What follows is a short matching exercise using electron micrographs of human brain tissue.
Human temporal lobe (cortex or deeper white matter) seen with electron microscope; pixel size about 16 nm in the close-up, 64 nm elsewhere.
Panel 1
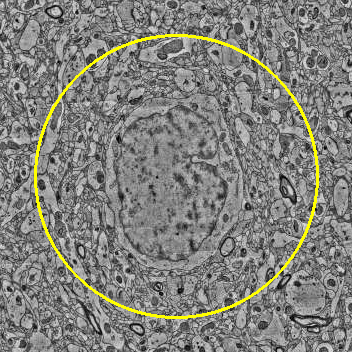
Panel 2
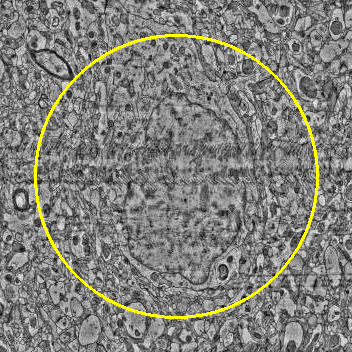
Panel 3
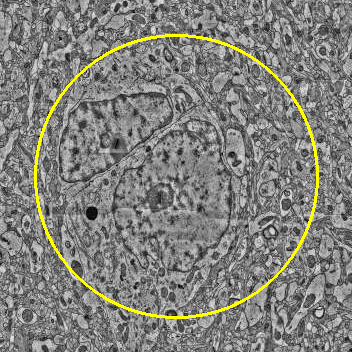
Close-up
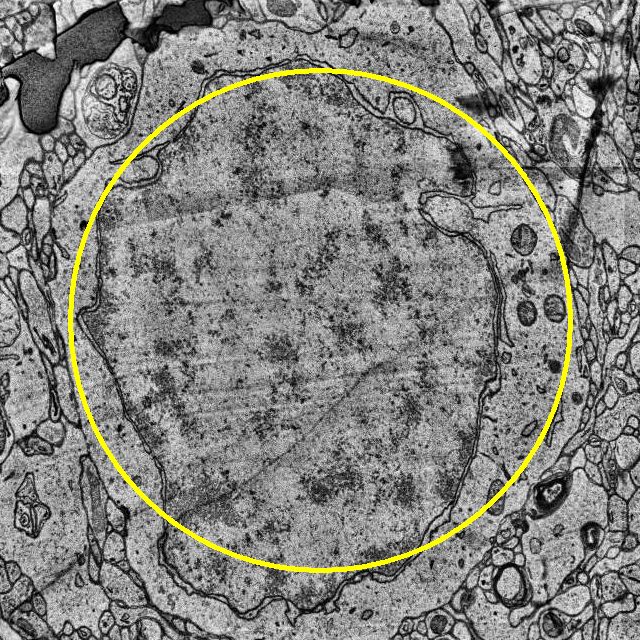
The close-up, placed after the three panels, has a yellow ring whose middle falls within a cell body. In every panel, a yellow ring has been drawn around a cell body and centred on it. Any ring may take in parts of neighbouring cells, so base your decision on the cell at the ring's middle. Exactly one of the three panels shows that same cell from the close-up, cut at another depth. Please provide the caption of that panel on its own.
Panel 1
